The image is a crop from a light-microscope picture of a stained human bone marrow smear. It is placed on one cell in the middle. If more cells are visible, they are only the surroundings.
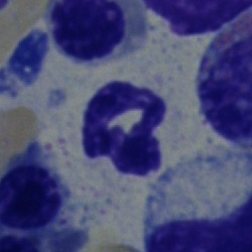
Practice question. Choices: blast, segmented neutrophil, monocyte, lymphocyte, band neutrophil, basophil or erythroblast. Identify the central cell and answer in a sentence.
On this slide crop, the central cell is a segmented neutrophil.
